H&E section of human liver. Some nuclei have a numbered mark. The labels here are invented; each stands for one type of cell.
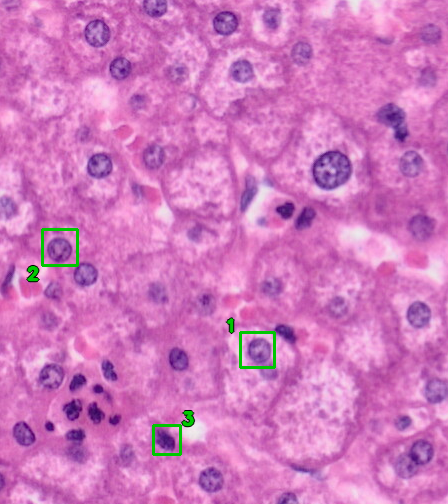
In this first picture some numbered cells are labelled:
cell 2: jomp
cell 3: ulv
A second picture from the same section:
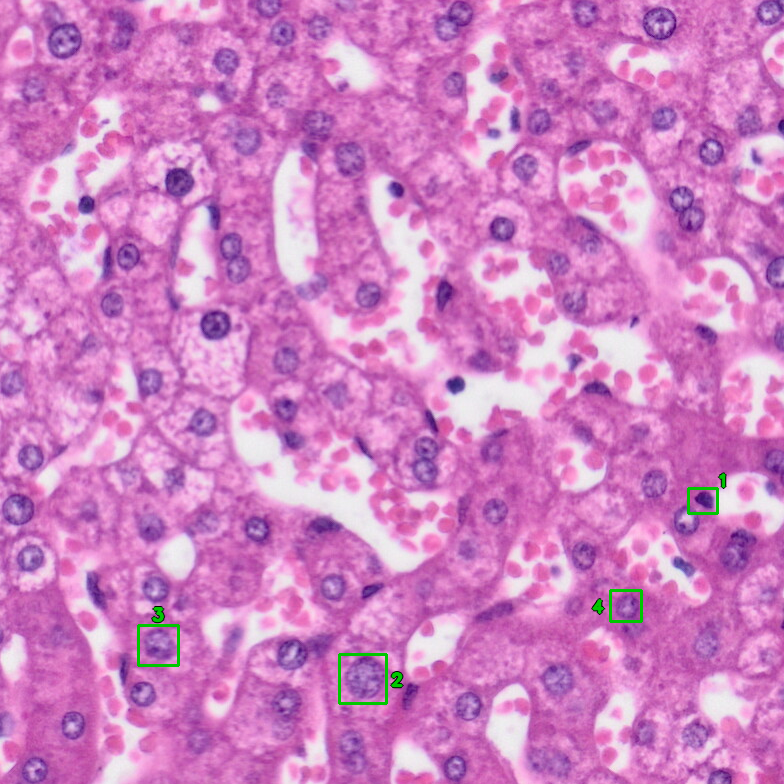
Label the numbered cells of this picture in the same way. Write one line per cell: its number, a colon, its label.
1: ulv
2: jomp
3: jomp
4: jomp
